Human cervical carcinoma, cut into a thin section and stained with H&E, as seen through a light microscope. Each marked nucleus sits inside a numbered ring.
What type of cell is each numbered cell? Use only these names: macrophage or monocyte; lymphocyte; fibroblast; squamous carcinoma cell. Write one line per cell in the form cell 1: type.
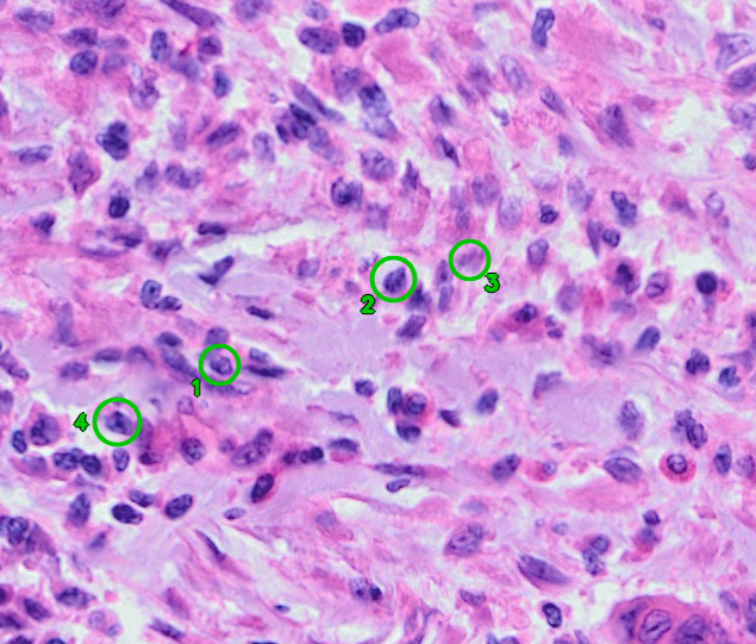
cell 1: lymphocyte
cell 2: lymphocyte
cell 3: fibroblast
cell 4: lymphocyte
